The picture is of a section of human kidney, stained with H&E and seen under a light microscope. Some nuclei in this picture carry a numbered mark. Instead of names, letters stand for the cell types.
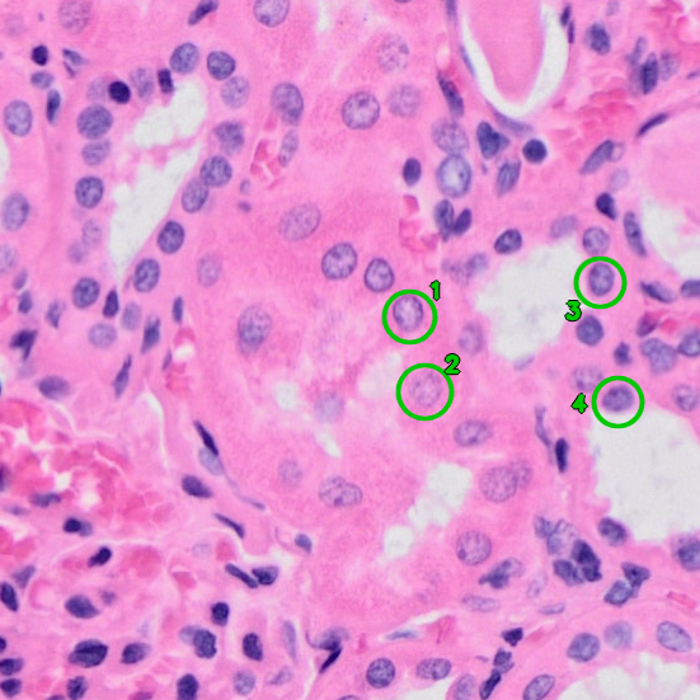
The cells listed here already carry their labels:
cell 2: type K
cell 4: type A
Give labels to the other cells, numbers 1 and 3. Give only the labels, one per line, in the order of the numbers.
type K
type A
